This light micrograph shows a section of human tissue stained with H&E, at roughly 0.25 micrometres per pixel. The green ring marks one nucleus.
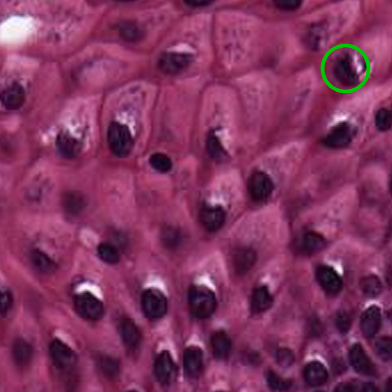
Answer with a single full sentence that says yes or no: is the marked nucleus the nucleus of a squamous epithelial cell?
Yes, the nucleus indicated by the marking belongs to a squamous epithelial cell.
